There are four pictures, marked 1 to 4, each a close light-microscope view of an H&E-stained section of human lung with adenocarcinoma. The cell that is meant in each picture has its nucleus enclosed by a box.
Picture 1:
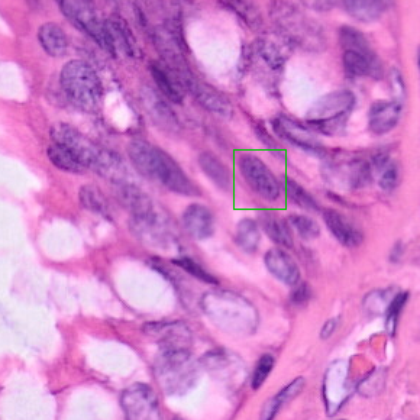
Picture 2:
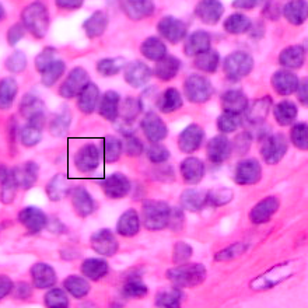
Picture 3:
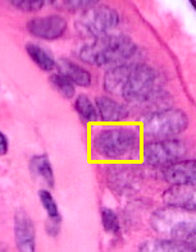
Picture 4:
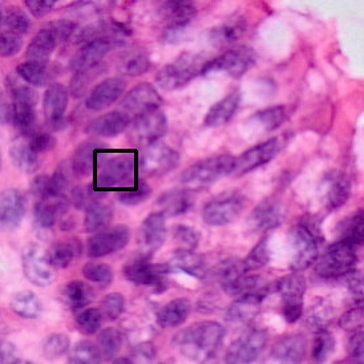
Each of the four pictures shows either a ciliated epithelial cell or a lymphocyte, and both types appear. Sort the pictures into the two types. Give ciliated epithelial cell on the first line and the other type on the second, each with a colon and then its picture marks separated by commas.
ciliated epithelial cell: 1, 3, 4
lymphocyte: 2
